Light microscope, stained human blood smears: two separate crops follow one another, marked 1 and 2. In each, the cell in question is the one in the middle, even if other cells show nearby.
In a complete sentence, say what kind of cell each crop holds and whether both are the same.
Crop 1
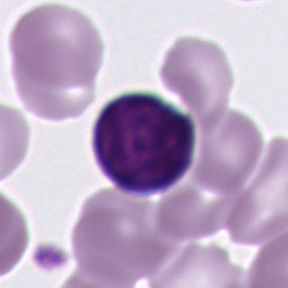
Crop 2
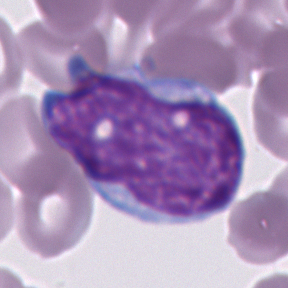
No, a lymphocyte is centred in crop 1, and a blast is centred in crop 2.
